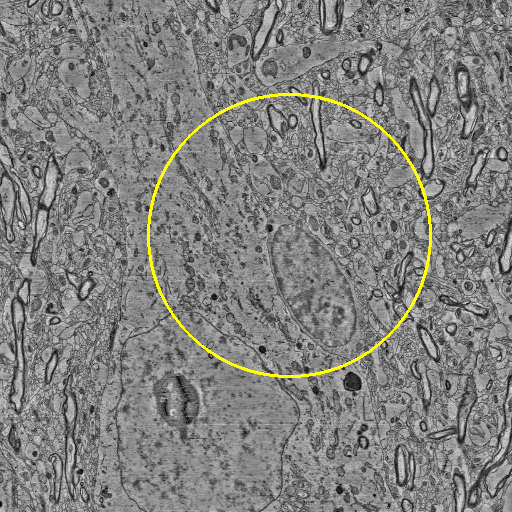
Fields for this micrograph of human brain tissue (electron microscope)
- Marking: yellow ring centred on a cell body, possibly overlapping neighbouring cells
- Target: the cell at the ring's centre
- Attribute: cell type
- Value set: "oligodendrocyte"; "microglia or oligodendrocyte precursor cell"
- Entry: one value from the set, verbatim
oligodendrocyte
